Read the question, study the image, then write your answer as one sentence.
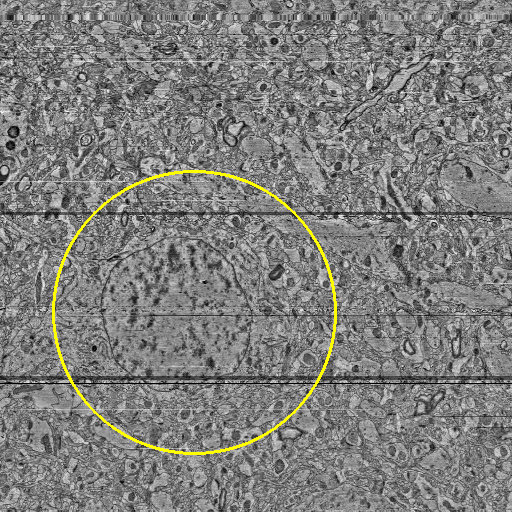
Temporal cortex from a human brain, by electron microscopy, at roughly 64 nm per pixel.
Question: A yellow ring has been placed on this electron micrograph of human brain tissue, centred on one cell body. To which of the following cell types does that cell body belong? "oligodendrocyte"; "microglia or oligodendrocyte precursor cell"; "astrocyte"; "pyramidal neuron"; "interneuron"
That cell body belongs to a pyramidal neuron.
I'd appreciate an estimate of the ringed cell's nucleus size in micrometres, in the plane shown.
In this plane the ringed cell's nucleus is roughly 10 micrometres across.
